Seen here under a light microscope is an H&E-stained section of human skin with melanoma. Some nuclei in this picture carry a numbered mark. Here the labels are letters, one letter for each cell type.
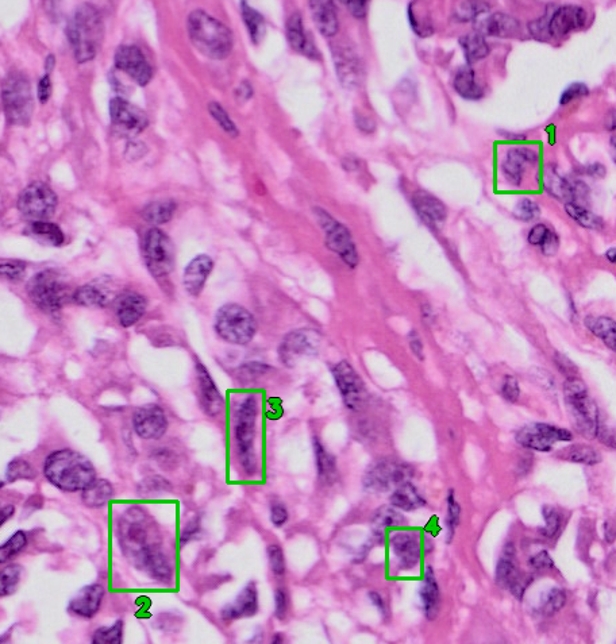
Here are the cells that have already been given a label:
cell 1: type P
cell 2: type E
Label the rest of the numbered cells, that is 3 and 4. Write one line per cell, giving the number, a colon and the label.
3: type E
4: type E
